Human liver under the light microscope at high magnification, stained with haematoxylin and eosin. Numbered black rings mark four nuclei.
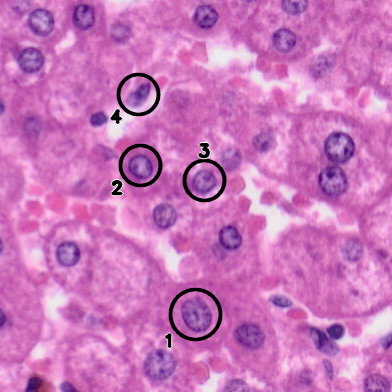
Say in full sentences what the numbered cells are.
Cell 1 is a hepatocyte, cell 2 is a hepatocyte, cell 3 is a hepatocyte and cell 4 is a Kupffer cell.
